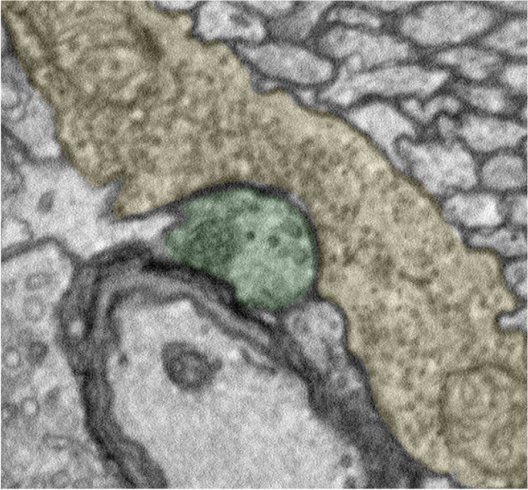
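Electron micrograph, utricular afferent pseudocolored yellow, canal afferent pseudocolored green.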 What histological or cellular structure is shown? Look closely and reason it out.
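A large yellow-tinted axon profile lies directly against a small green-tinted axon profile. The yellow profile holds many small round vesicle-like profiles. The answer: axo-axonic synapses.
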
